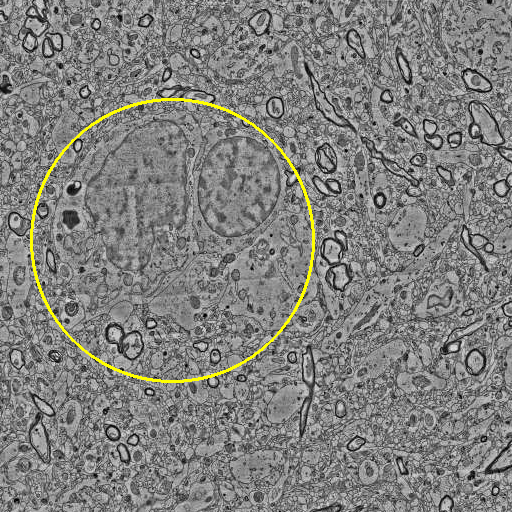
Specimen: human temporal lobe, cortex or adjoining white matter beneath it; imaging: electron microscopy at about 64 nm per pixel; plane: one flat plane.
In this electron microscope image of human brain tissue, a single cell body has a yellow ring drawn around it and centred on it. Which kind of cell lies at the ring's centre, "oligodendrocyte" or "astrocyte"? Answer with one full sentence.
It is an oligodendrocyte whose cell body lies at the centre of the yellow ring here.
